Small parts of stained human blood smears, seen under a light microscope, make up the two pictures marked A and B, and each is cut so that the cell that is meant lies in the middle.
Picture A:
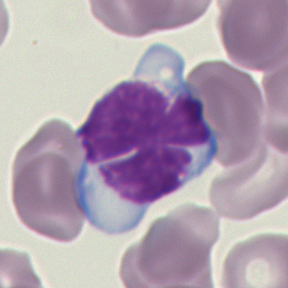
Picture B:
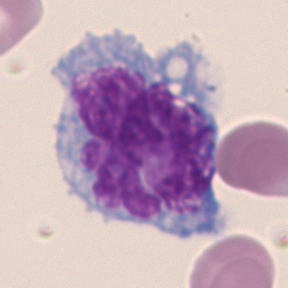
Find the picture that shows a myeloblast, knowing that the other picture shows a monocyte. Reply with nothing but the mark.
A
